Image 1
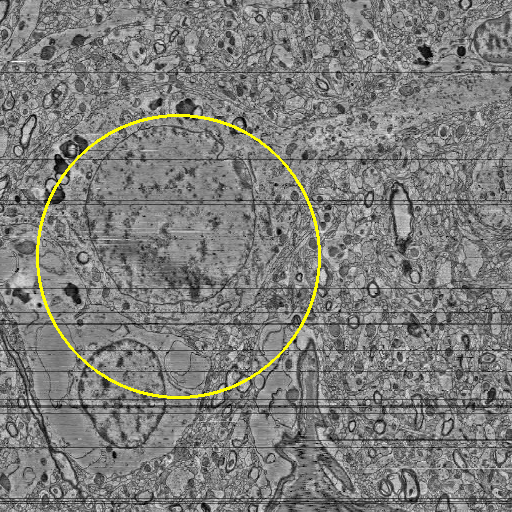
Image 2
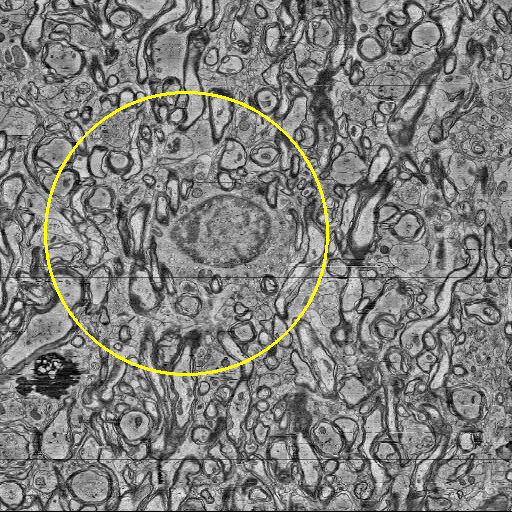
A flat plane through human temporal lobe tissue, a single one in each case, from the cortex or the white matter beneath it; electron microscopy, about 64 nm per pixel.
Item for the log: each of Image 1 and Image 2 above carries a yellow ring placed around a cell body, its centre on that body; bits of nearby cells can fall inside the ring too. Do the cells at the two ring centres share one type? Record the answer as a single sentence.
No, the two cells at the ring centres in Image 1 and Image 2 are of two types.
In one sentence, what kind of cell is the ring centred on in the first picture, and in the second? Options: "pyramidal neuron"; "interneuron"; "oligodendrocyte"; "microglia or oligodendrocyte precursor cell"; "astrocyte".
The cell at the centre of the second ring is an oligodendrocyte; the first ring's cell is a pyramidal neuron.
